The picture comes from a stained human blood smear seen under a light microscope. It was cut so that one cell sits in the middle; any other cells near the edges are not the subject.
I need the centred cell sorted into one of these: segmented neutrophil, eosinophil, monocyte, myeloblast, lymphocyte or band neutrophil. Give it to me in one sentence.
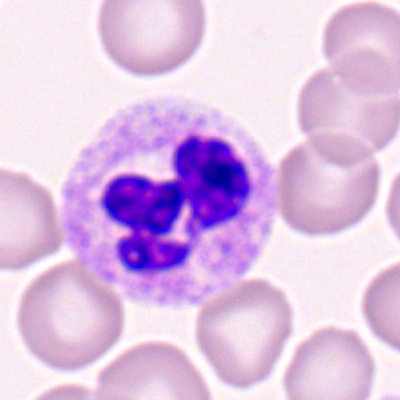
The central element of this crop is a cell, namely a segmented neutrophil.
